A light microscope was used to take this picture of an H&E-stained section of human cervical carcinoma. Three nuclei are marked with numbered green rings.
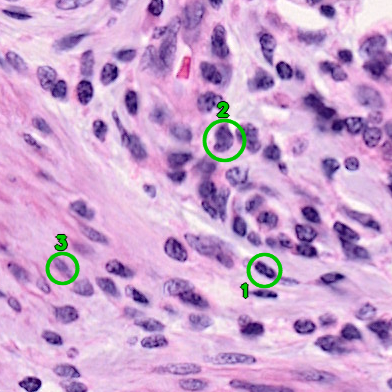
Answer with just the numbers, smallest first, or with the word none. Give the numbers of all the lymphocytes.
1, 2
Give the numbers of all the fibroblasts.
none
